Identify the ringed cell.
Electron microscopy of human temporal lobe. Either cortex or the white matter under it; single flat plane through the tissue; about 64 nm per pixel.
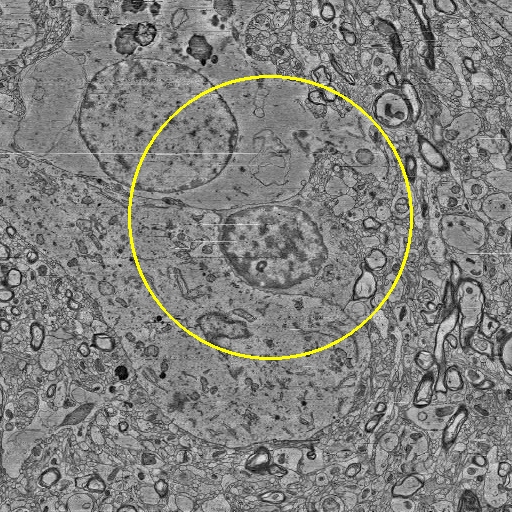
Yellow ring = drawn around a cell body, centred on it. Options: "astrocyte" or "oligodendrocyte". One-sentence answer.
What the ring is centred on is an oligodendrocyte.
